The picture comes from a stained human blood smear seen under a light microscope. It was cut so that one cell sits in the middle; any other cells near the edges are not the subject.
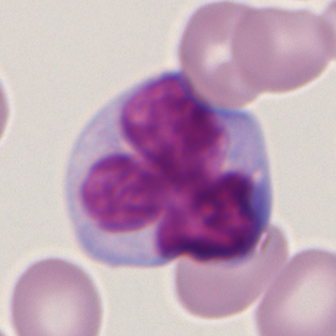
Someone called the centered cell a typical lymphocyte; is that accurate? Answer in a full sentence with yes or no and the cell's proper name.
Yes, it is a typical lymphocyte that is seen at the centre of the crop.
